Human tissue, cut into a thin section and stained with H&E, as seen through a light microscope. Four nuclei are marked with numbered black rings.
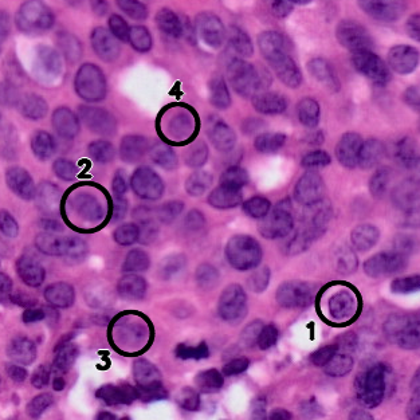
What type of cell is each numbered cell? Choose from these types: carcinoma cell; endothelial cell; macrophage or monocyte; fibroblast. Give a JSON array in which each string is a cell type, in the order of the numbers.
["macrophage or monocyte", "carcinoma cell", "carcinoma cell", "carcinoma cell"]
